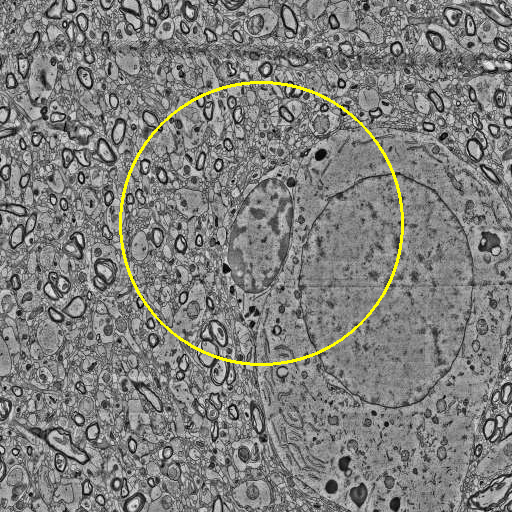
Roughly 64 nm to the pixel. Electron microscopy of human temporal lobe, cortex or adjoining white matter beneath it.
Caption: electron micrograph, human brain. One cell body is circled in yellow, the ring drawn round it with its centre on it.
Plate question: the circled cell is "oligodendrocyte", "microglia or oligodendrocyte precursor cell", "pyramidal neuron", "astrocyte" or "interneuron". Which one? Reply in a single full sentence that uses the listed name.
The yellow ring on the plate is centred on a microglial cell or oligodendrocyte precursor cell, going by the listed names.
